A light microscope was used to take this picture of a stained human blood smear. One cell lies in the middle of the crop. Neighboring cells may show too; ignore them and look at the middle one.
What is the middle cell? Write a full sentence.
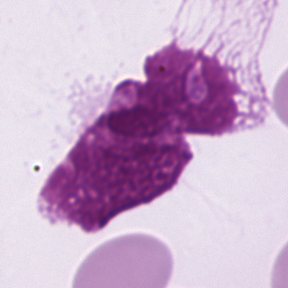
To answer, the cell in the center of the crop is a smudge cell.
